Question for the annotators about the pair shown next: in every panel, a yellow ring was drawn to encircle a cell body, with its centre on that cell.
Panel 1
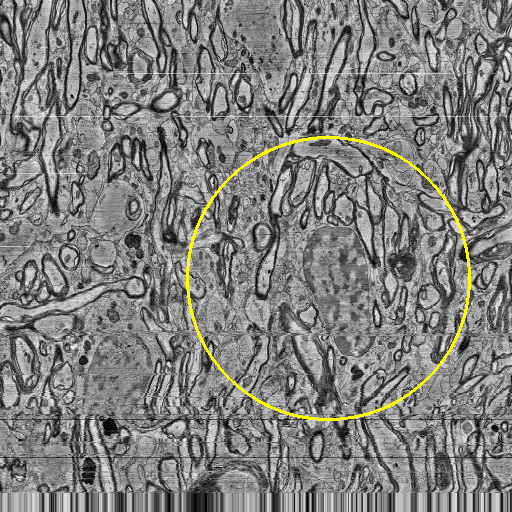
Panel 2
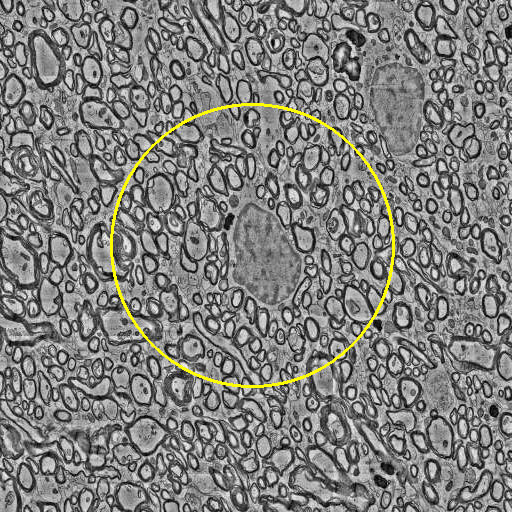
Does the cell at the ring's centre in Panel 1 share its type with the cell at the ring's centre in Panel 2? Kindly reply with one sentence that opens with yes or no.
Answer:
No, in Panels 1 and 2 the cells at the ring centres belong to separate types.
